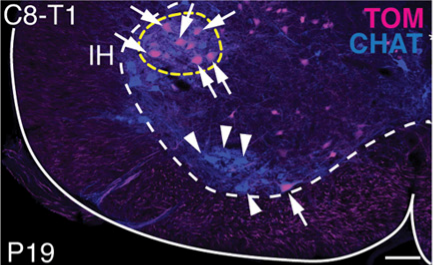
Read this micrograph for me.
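A cross-section of the ventral horn of the spinal cord shows large, round to polygonal blue neurons grouped into discrete clusters, or pools. In a dorsolateral cluster outlined in yellow, several cell bodies are bright magenta among blue neighbours. A broad ventral band of blue neurons lies along the grey-white matter border, and few of its cells are magenta.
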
